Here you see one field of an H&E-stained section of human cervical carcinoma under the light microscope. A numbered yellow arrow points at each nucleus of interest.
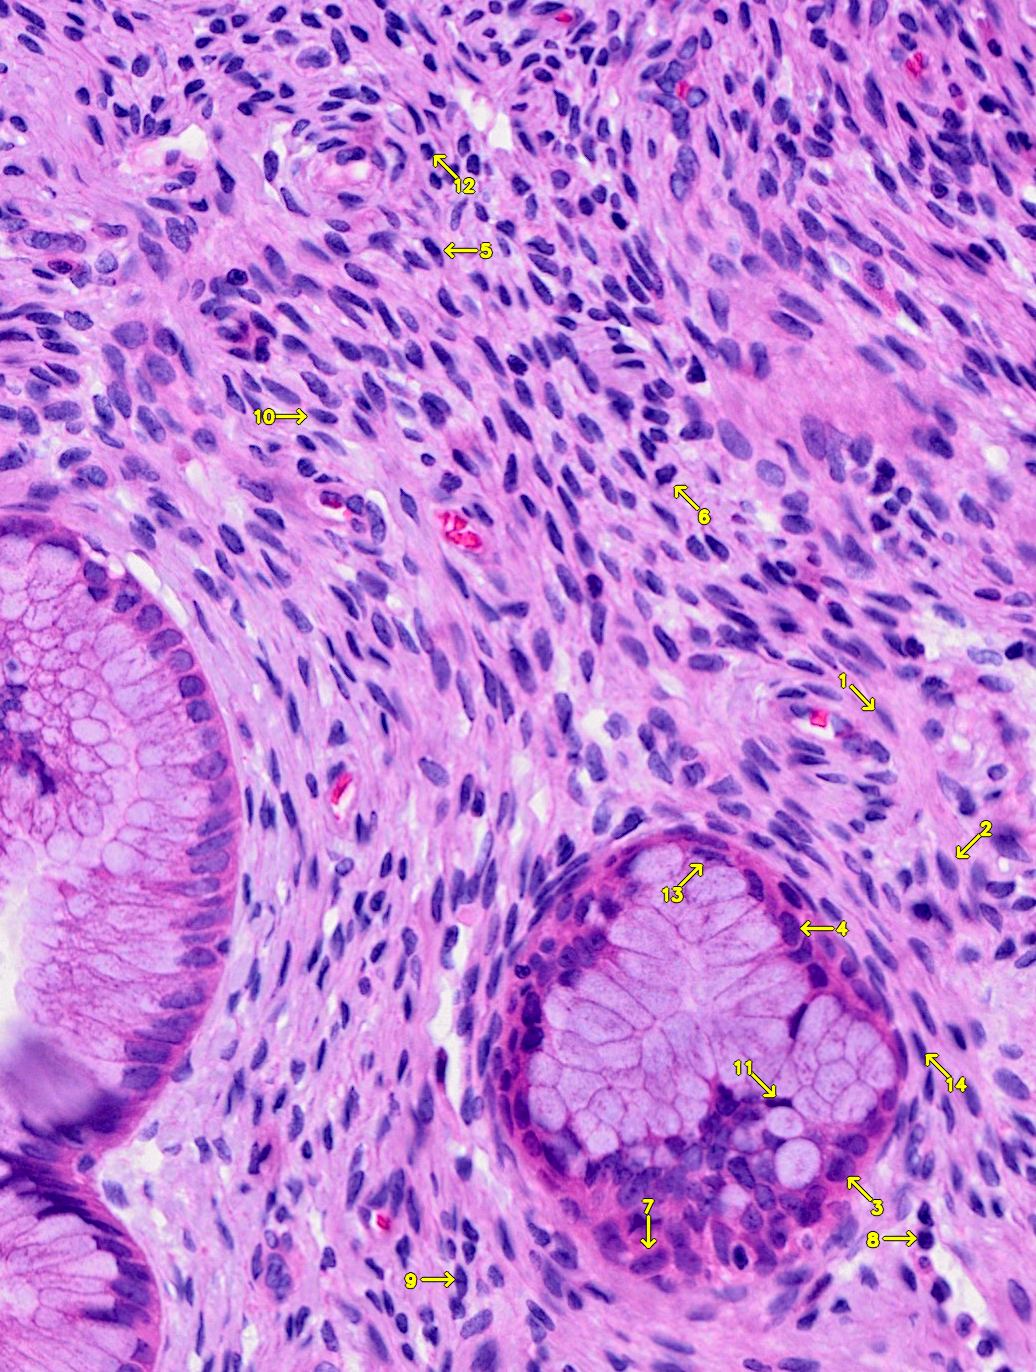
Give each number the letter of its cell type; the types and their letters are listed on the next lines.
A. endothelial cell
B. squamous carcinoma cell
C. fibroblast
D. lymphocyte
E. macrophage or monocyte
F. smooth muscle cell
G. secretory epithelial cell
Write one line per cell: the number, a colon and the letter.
1: C
2: C
3: G
4: G
5: C
6: C
7: G
8: D
9: C
10: C
11: G
12: C
13: G
14: C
